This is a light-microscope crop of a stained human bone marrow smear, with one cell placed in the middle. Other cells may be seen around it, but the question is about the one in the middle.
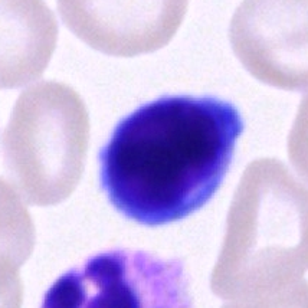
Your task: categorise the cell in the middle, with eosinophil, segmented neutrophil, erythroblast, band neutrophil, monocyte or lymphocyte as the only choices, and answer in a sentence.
Classified as a lymphocyte is the cell in the middle of this crop.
